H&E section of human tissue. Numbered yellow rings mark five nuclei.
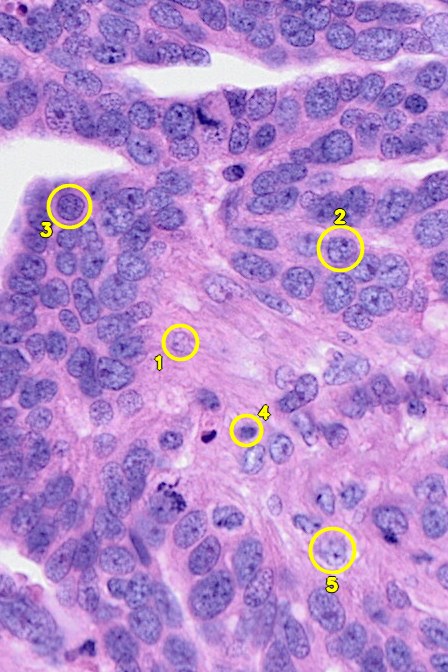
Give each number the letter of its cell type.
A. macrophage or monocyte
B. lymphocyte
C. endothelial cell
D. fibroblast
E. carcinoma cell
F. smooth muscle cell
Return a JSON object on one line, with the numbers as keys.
{"1": "D", "2": "E", "3": "E", "4": "B", "5": "D"}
